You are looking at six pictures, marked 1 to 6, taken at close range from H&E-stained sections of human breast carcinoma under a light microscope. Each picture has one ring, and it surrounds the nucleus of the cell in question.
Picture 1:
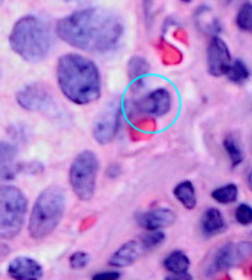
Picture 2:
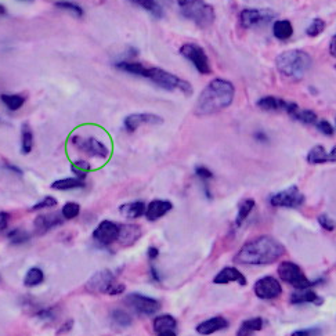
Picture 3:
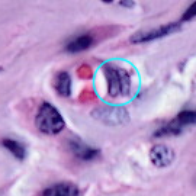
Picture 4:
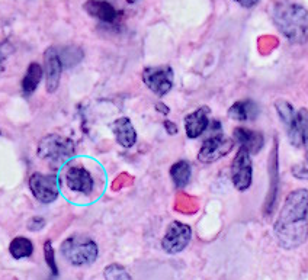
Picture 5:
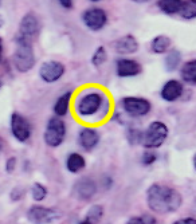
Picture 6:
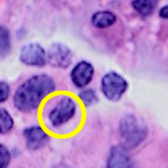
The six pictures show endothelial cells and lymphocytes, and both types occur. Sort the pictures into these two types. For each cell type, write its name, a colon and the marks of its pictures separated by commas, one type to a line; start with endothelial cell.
endothelial cell: 1, 3
lymphocyte: 2, 4, 5, 6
